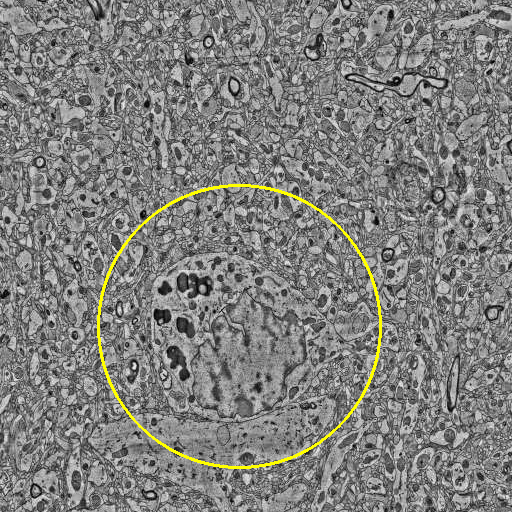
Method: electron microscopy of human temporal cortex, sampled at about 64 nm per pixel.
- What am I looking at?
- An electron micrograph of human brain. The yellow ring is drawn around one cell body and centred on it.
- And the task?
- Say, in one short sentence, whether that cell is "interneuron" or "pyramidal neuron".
The cell in the middle of the ring is an interneuron.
